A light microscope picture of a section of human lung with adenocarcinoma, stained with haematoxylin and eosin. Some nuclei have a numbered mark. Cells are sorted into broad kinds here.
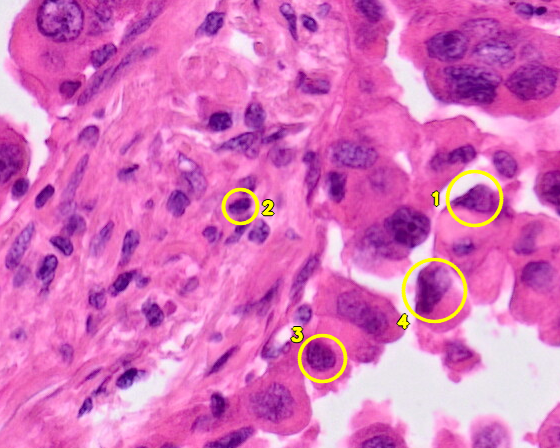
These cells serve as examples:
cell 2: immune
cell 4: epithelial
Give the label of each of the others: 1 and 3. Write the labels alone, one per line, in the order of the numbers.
epithelial
epithelial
